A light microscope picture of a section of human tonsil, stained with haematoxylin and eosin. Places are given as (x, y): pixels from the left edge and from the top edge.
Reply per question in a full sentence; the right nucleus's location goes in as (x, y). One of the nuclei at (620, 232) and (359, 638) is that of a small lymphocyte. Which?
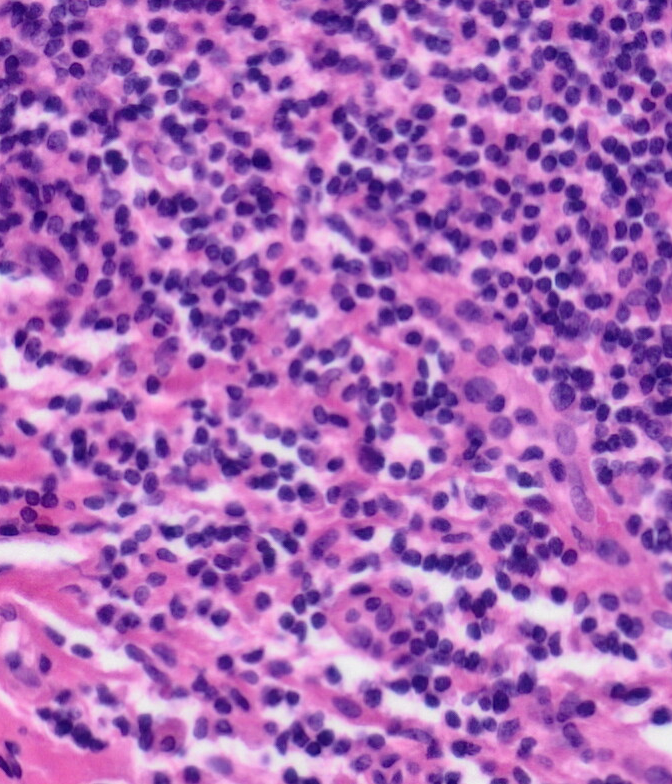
Of the two candidate nuclei, the one at (620, 232) is that of a small lymphocyte.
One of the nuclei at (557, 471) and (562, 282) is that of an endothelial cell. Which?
The nucleus situated at (557, 471) is the one belonging to an endothelial cell.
